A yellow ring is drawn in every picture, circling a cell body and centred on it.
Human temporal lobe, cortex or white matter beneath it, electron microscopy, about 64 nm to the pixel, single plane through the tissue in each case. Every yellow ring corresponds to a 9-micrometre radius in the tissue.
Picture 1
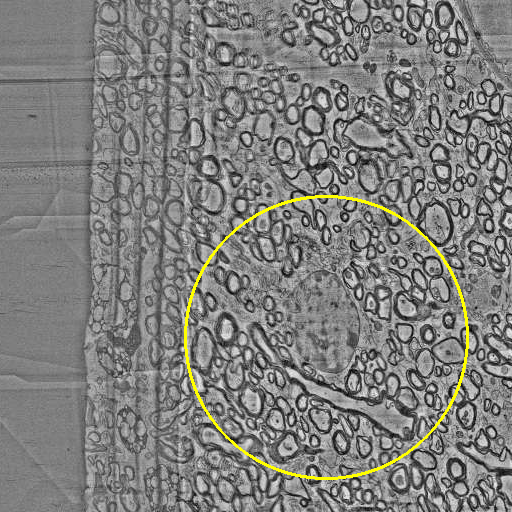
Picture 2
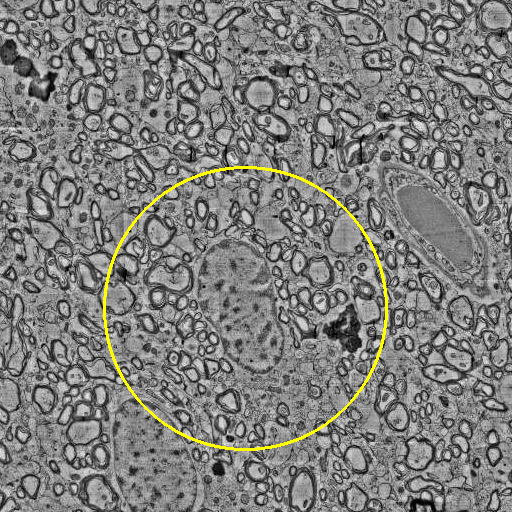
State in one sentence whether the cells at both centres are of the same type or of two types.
The cells at the two ring centres, one per picture, are of two types.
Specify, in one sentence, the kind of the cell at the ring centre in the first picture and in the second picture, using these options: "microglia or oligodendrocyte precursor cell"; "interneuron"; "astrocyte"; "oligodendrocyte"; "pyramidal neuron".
So the first is a microglial cell or oligodendrocyte precursor cell, the second an oligodendrocyte.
